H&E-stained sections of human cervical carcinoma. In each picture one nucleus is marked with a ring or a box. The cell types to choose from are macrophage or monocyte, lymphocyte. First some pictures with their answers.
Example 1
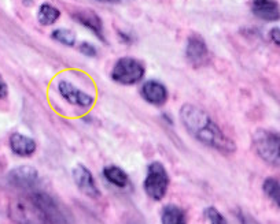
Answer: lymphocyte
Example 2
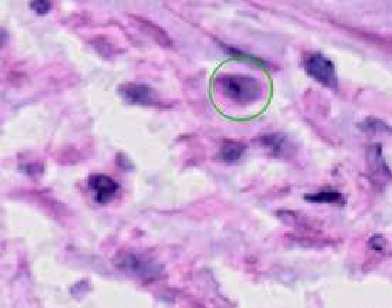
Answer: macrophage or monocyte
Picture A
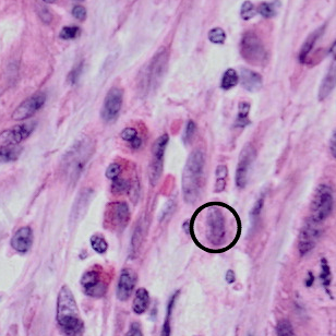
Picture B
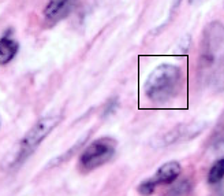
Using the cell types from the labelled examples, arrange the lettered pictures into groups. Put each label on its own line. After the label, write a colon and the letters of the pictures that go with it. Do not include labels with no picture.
macrophage or monocyte: A, B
